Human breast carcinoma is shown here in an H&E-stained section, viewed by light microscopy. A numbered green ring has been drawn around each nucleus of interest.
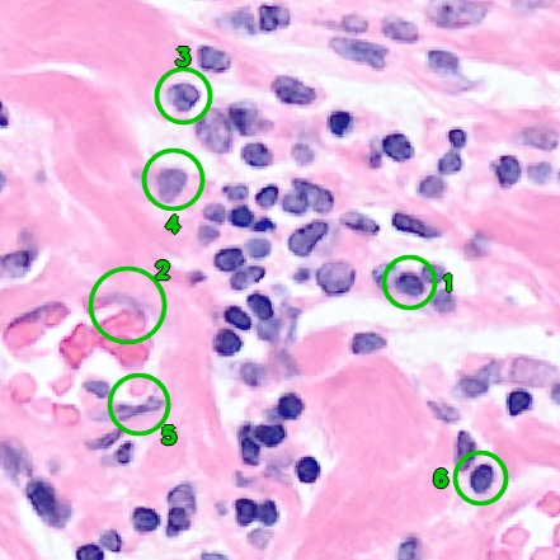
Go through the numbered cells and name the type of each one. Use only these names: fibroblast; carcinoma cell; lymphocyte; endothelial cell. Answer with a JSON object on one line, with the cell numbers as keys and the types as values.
{"1": "lymphocyte", "2": "endothelial cell", "3": "lymphocyte", "4": "lymphocyte", "5": "endothelial cell", "6": "lymphocyte"}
